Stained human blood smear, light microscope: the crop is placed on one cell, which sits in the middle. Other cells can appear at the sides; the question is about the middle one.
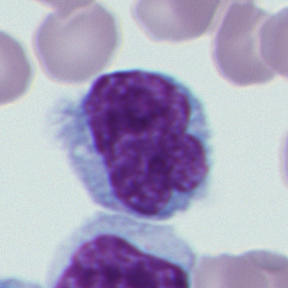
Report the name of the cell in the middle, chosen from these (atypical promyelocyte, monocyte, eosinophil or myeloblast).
monocyte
